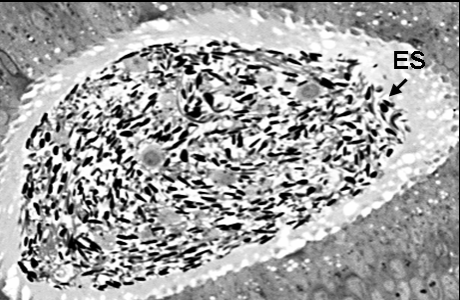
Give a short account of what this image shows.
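A duct of the epididymis is cut across, its lumen densely packed with elongated spermatids. The sperm heads are dark, slender and elongated, crowded in swirling streams that fill almost the whole lumen. Only a few paler, rounder profiles are scattered among them. A pale band separates the sperm mass from the lining epithelium at the edge.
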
